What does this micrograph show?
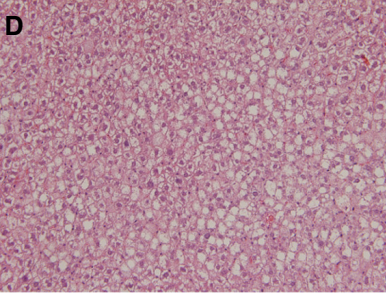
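This is liver tissue in which the hepatocytes show marked vacuolization. Most hepatocytes contain clear, unstained round spaces in their cytoplasm, giving the field a pale, bubbly appearance. The purple nuclei are small and round and remain visible among the vacuoles. The normal even pink cytoplasm is largely replaced by these clear spaces across the whole field, and a few red blood cells are seen in spaces between the cells.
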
